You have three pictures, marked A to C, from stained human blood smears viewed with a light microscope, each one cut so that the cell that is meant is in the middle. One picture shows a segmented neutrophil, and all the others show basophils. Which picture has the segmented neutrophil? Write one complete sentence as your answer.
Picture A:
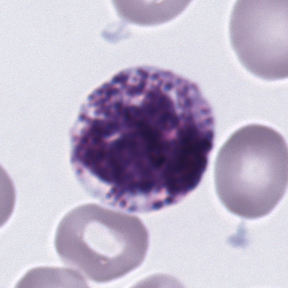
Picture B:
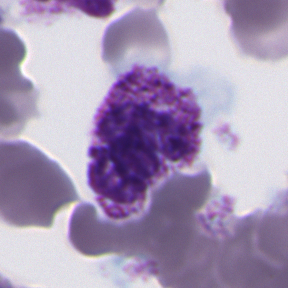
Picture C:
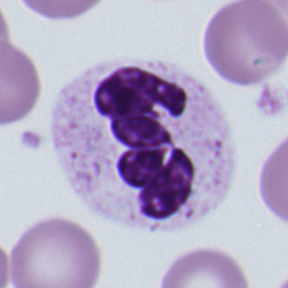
Picture C is the one that shows the segmented neutrophil.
